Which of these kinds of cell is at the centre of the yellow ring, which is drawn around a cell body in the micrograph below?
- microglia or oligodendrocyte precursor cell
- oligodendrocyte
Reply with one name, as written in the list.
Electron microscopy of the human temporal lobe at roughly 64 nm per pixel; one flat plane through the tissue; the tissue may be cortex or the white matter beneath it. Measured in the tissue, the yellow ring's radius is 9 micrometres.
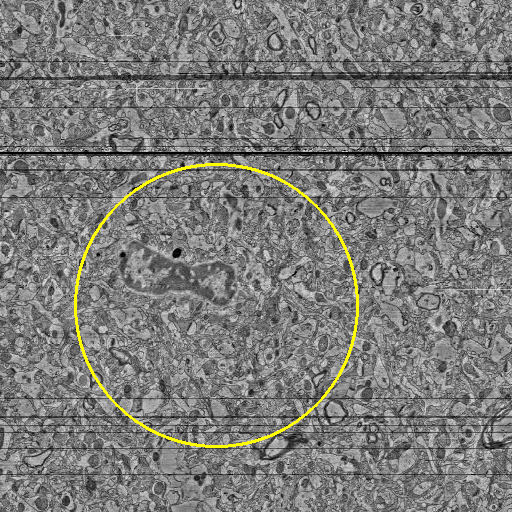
microglia or oligodendrocyte precursor cell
